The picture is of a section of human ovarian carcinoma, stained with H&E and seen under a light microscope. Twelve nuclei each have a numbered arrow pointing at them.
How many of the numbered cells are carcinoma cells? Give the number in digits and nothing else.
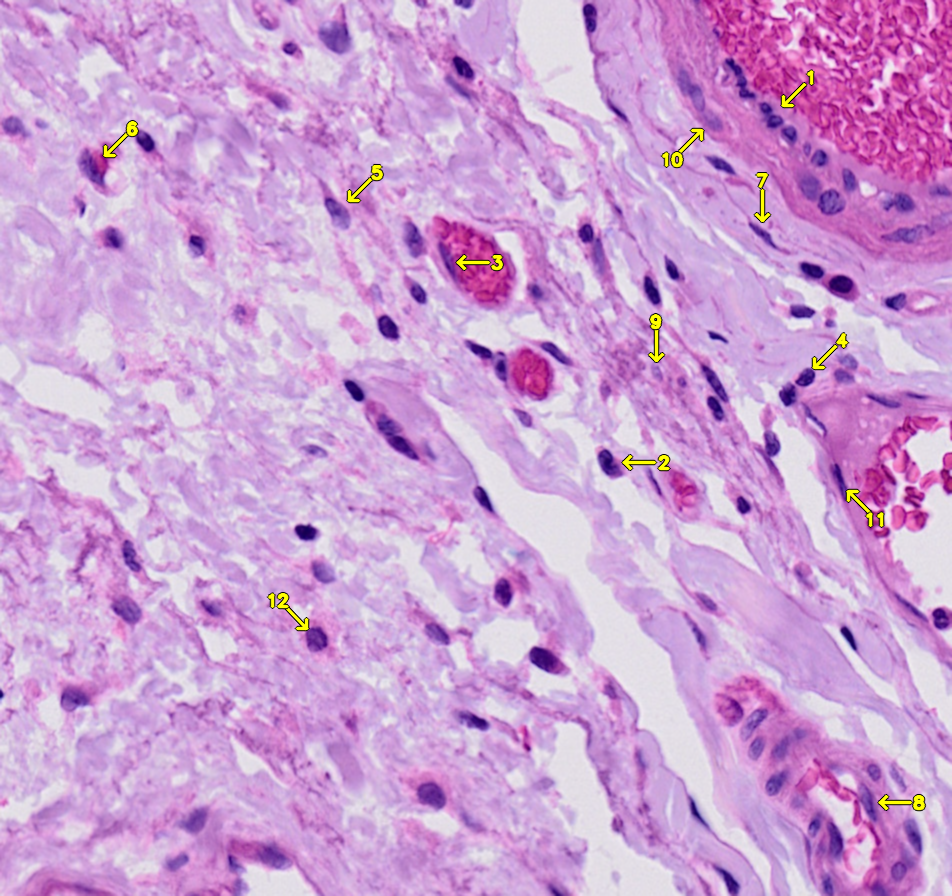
0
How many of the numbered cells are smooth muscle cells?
1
